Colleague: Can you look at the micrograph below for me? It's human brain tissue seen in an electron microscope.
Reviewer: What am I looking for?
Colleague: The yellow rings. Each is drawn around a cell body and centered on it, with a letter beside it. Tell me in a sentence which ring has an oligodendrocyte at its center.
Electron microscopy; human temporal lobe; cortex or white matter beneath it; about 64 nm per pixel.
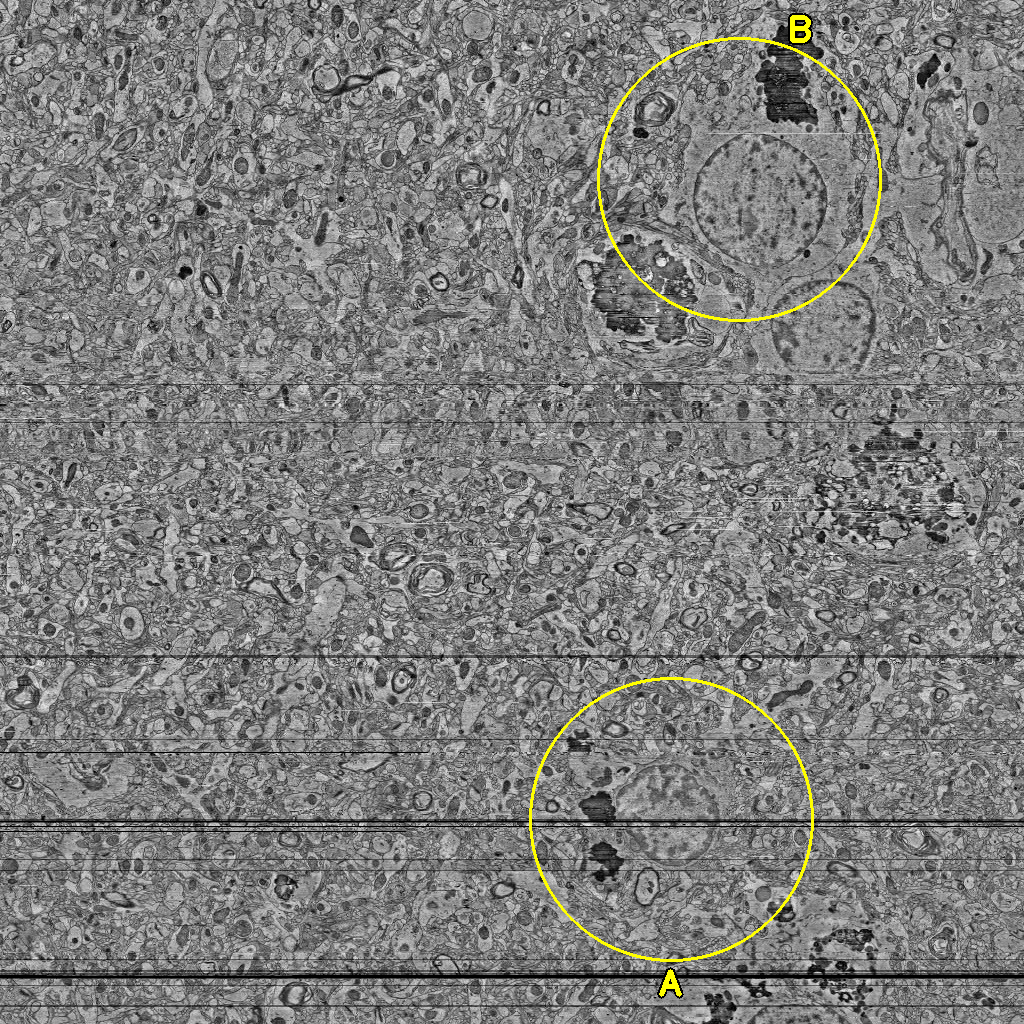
It's the cell in ring A.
